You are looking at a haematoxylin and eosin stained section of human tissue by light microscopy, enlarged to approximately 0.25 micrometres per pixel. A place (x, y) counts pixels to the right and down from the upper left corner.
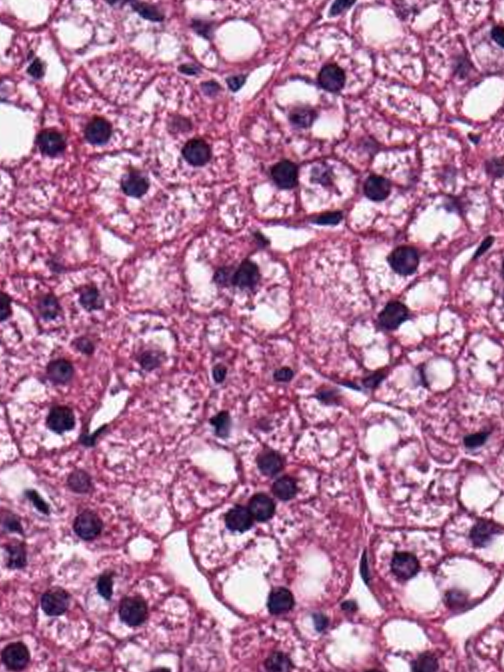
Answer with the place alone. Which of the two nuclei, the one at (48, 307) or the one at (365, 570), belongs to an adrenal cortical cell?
(48, 307)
